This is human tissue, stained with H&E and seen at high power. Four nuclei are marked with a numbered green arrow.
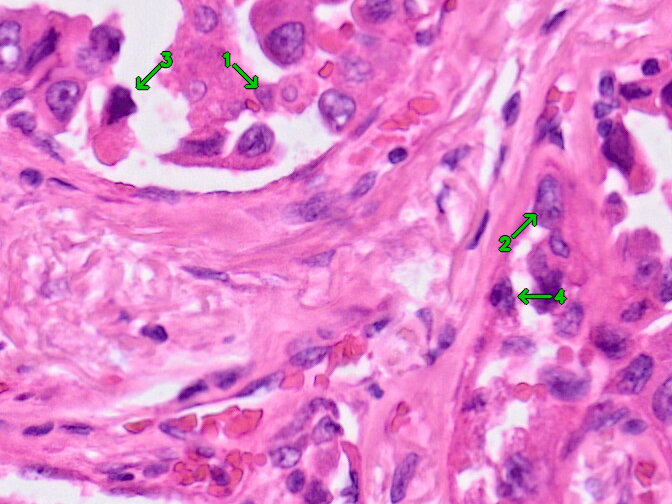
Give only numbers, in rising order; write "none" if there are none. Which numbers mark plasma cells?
none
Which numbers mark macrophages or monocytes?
1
